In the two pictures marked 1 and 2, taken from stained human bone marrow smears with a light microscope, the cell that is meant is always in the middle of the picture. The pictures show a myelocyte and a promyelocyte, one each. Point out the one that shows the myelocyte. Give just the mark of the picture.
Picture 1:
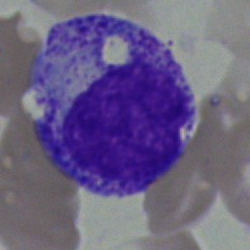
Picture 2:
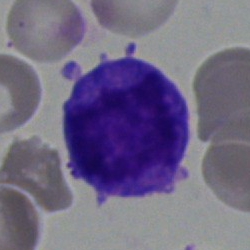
1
